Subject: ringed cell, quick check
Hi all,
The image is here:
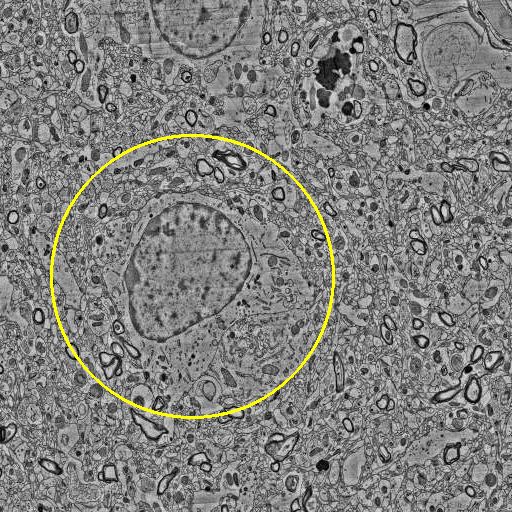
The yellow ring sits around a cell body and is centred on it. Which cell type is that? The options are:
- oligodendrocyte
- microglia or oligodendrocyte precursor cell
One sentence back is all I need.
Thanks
That ringed cell is a microglial cell or oligodendrocyte precursor cell.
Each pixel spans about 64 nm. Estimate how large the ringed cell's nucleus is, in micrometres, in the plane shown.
About 9 micrometres by about 7 micrometres in this plane.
